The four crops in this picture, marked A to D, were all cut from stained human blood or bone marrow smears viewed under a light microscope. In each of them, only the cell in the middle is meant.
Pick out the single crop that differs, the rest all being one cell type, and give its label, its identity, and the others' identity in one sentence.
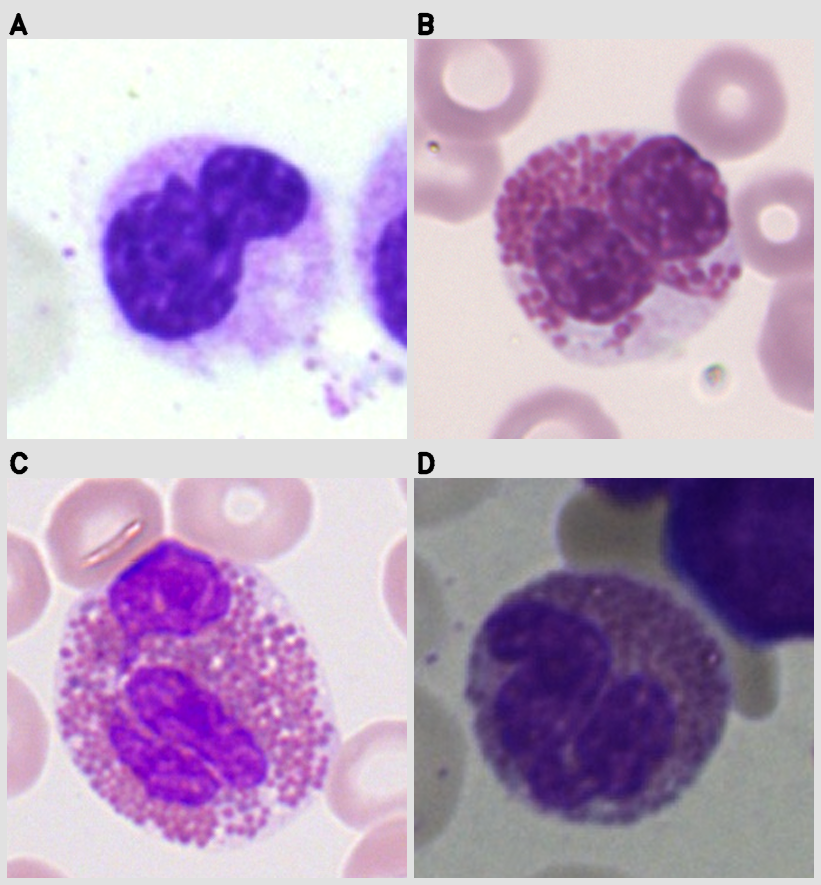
Just crop A is a band neutrophil; all the other crops show eosinophils.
